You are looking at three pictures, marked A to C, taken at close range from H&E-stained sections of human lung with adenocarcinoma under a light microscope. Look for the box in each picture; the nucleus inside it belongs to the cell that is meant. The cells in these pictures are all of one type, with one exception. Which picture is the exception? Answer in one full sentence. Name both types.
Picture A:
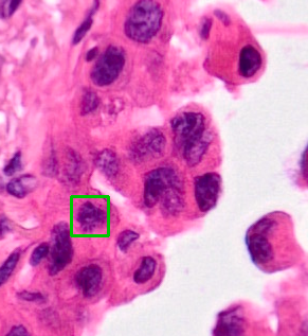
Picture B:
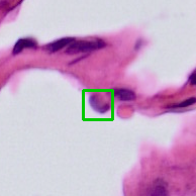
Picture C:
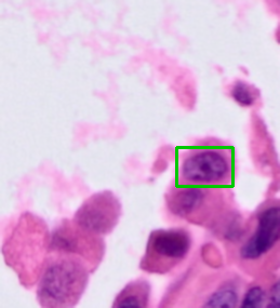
The different one is picture B; it shows a type I pneumocyte, whereas all the others show carcinoma cells.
